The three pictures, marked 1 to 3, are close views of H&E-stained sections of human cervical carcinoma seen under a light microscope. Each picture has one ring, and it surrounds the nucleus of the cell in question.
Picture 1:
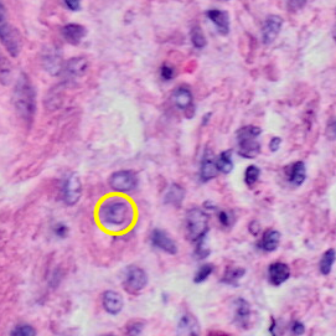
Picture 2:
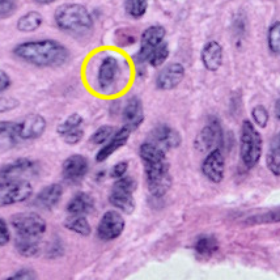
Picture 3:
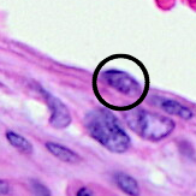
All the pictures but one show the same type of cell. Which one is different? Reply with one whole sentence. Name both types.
The others show endothelial cells, but picture 2 shows a squamous carcinoma cell.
